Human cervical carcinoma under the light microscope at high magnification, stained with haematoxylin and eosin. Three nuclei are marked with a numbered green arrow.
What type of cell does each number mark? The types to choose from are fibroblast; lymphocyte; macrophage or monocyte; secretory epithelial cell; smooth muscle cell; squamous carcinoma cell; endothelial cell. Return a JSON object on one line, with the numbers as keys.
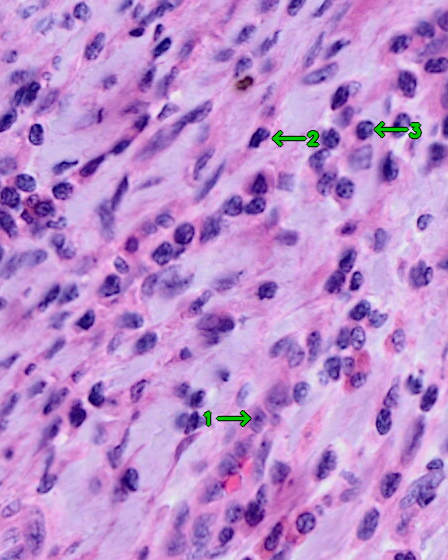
{"1": "endothelial cell", "2": "lymphocyte", "3": "lymphocyte"}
